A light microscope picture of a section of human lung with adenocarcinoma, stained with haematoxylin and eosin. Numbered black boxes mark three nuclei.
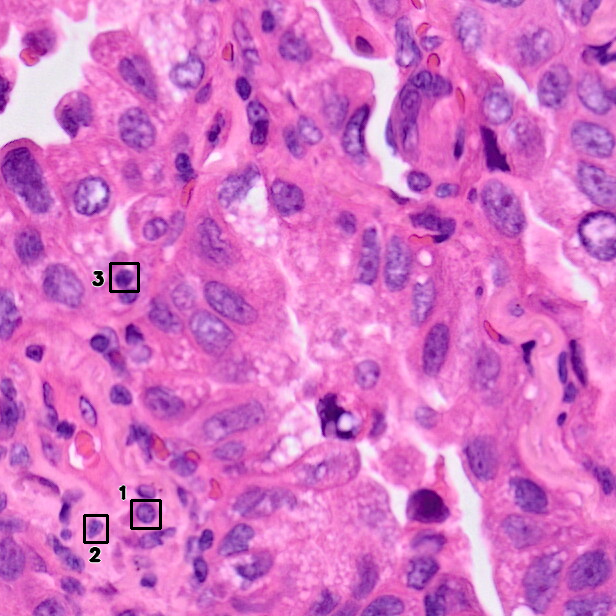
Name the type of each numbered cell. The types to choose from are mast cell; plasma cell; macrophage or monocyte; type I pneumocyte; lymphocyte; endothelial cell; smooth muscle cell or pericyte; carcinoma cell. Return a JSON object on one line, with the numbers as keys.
{"1": "plasma cell", "2": "lymphocyte", "3": "lymphocyte"}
